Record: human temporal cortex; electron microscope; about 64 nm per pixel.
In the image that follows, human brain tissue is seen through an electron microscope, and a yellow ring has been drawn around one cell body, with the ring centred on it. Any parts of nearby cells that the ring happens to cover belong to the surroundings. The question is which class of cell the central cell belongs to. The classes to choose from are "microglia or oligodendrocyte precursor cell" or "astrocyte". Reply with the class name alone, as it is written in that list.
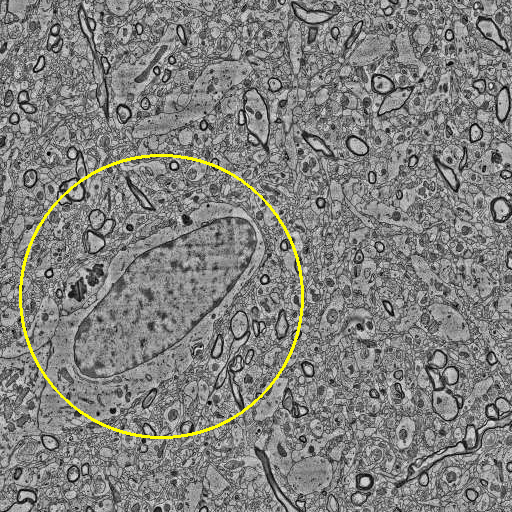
microglia or oligodendrocyte precursor cell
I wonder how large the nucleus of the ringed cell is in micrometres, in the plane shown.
In this plane the nucleus measures roughly 14 by 6 micrometers.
